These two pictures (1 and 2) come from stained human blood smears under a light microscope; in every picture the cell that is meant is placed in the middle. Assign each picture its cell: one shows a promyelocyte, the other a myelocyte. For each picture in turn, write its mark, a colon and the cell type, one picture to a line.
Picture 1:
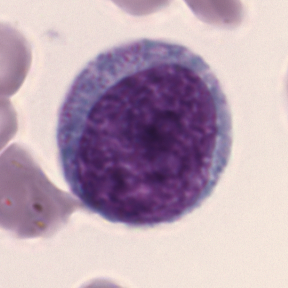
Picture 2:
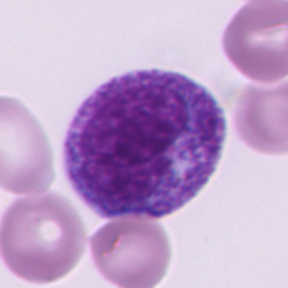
1: promyelocyte
2: myelocyte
